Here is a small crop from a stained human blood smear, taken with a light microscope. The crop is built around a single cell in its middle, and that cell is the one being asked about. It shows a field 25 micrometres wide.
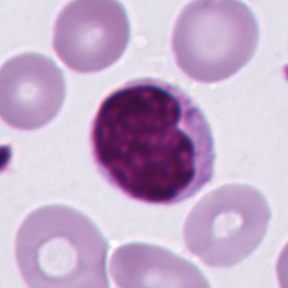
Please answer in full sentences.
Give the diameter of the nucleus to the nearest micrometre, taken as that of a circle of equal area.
The nucleus is about 9 micrometres across.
